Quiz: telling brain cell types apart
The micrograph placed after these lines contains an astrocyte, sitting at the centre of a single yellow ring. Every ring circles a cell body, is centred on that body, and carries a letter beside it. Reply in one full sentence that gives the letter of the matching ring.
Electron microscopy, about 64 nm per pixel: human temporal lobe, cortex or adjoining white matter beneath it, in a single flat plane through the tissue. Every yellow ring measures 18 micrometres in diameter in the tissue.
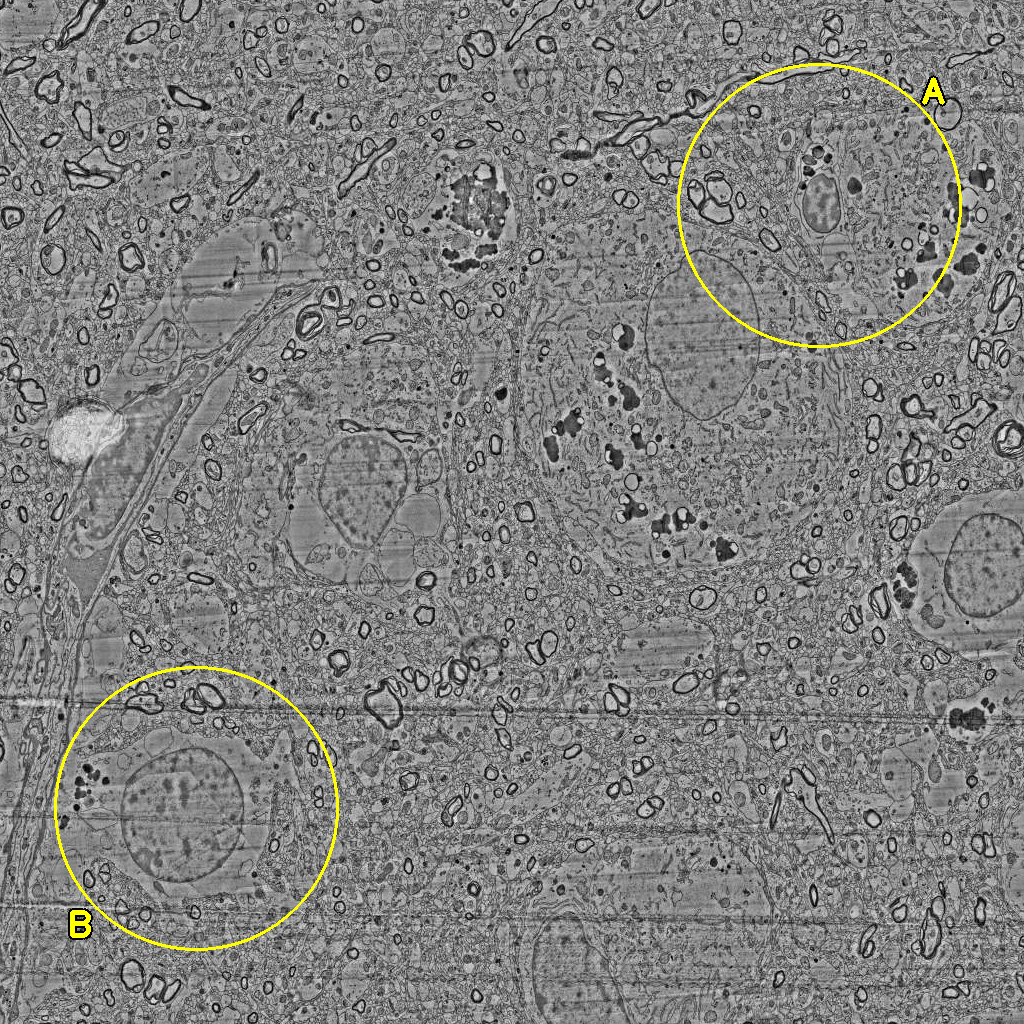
The cell asked for lies at the centre of ring B in the picture.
